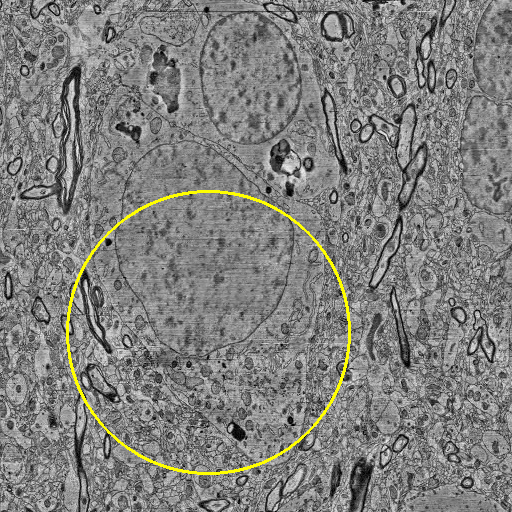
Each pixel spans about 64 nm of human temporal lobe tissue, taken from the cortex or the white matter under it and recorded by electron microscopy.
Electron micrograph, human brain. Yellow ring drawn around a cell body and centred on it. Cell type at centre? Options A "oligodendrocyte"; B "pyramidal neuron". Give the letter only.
B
